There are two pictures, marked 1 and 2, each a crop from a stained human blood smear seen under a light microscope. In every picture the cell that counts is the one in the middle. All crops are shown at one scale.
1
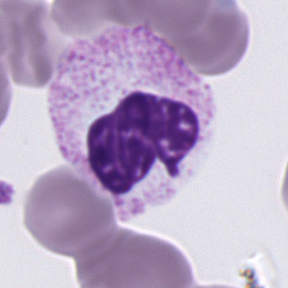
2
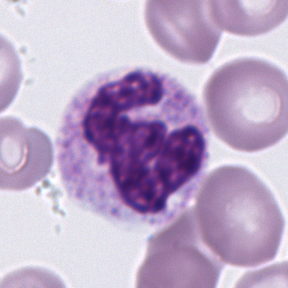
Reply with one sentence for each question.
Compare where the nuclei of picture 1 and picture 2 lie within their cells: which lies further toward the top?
Seen within its cell, the nucleus in picture 2 lies further toward the top.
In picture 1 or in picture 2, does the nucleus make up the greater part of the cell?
It is the cell in picture 2 that is filled more by its nucleus.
